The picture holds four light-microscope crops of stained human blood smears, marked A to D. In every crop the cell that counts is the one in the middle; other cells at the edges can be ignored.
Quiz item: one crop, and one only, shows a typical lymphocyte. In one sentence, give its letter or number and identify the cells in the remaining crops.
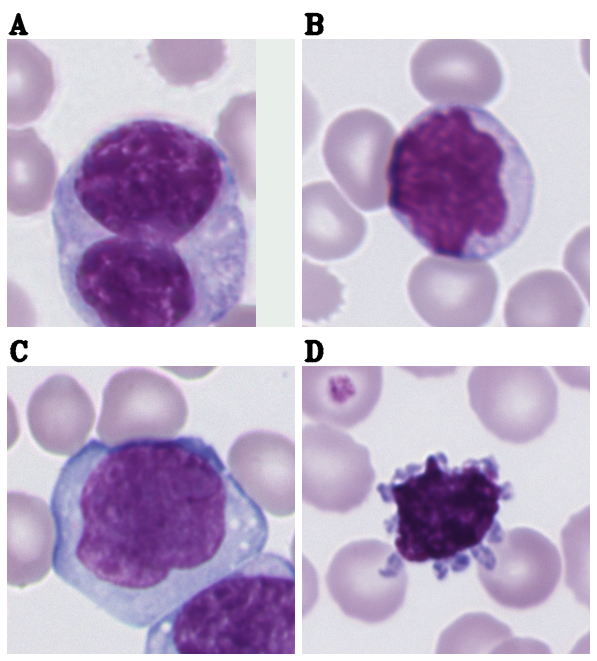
In the crop designated D, the cell is a typical lymphocyte, while crop A is a plasma cell, crop B is a large granular lymphocyte and crop C is a blast.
